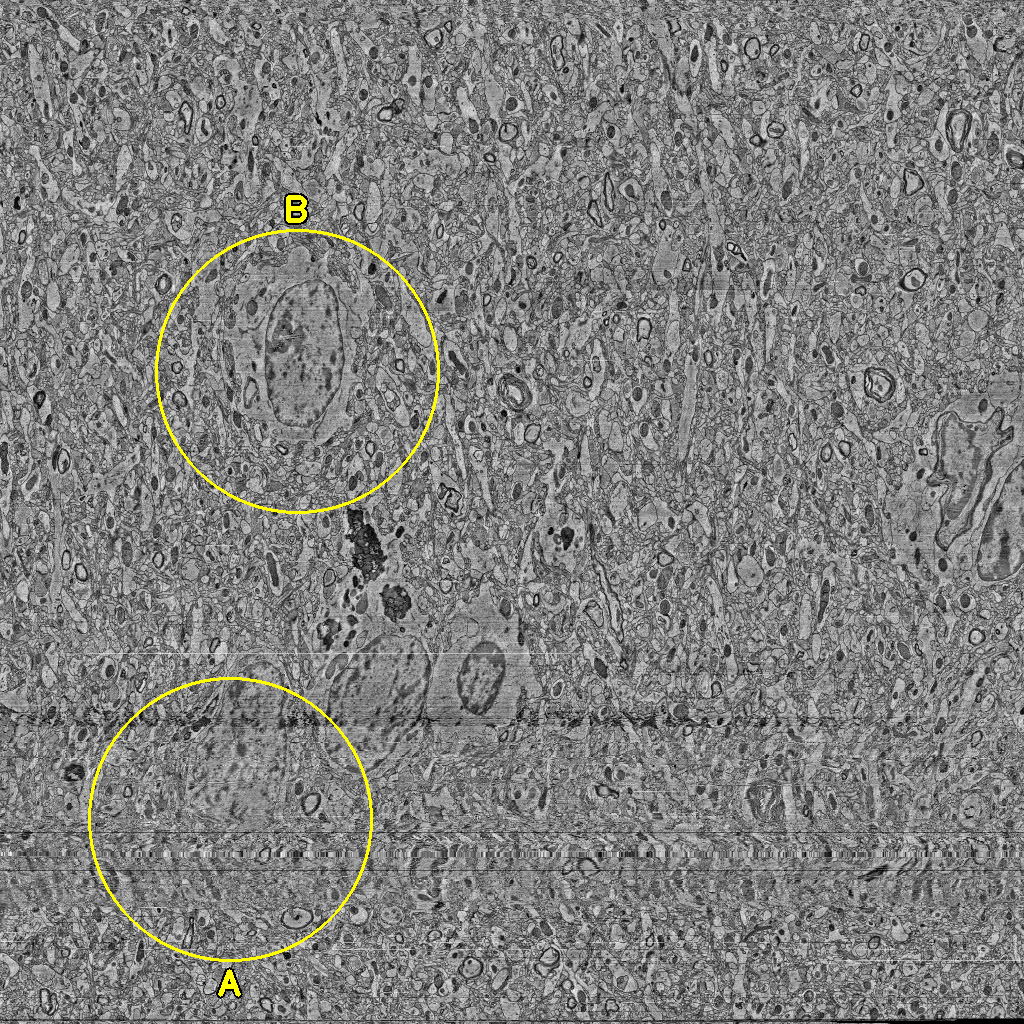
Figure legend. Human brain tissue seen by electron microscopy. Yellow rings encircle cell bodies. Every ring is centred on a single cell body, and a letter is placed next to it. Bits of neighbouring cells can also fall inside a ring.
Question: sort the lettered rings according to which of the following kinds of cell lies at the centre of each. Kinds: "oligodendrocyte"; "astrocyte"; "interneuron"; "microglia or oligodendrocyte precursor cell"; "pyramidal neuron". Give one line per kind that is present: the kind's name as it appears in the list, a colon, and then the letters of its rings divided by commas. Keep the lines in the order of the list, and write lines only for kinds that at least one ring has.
astrocyte: B
interneuron: A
